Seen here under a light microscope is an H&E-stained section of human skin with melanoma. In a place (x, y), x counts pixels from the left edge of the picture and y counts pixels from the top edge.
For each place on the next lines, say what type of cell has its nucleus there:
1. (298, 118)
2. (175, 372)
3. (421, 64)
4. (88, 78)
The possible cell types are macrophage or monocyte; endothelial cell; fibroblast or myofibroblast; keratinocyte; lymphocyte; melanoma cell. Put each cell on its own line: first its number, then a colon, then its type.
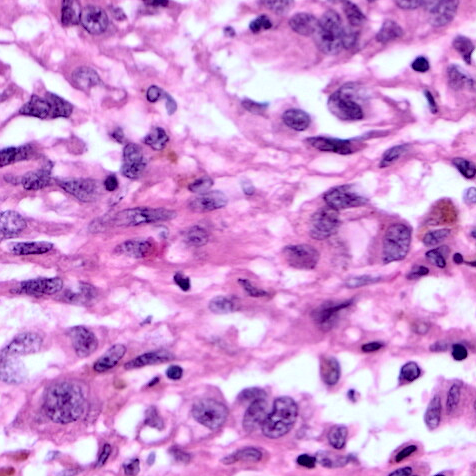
1: melanoma cell
2: lymphocyte
3: lymphocyte
4: melanoma cell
